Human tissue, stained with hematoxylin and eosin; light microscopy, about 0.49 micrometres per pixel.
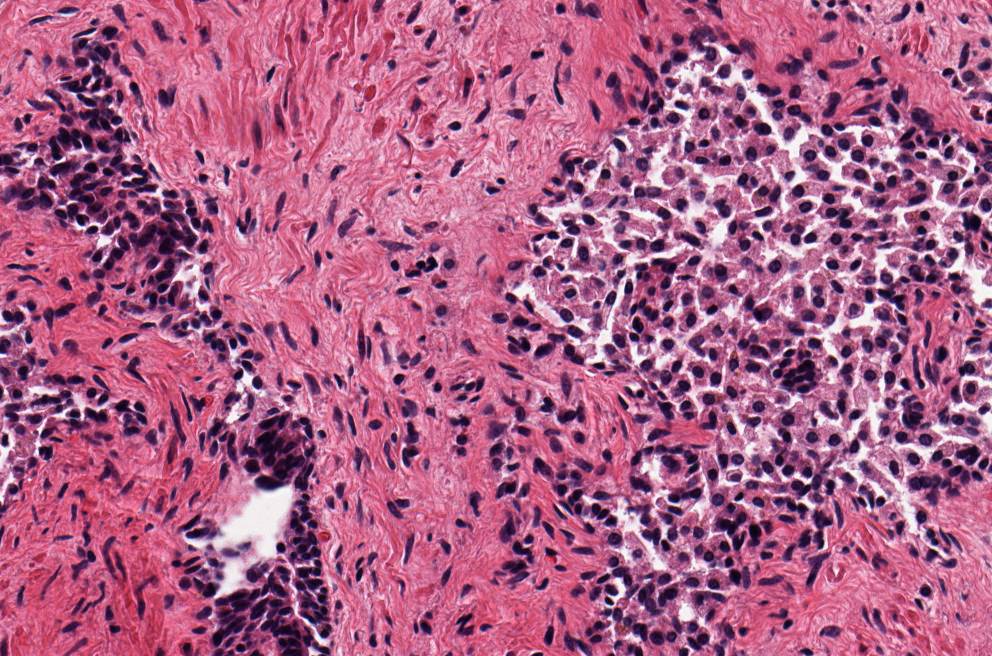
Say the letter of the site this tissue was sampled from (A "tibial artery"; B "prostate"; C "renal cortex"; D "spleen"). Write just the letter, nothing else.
B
